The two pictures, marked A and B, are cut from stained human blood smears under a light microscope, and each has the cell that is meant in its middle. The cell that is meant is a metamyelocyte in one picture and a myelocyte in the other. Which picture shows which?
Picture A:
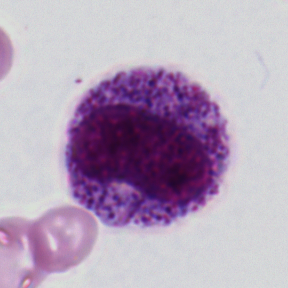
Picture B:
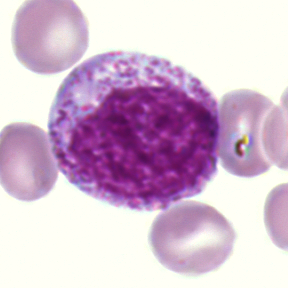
A: metamyelocyte
B: myelocyte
